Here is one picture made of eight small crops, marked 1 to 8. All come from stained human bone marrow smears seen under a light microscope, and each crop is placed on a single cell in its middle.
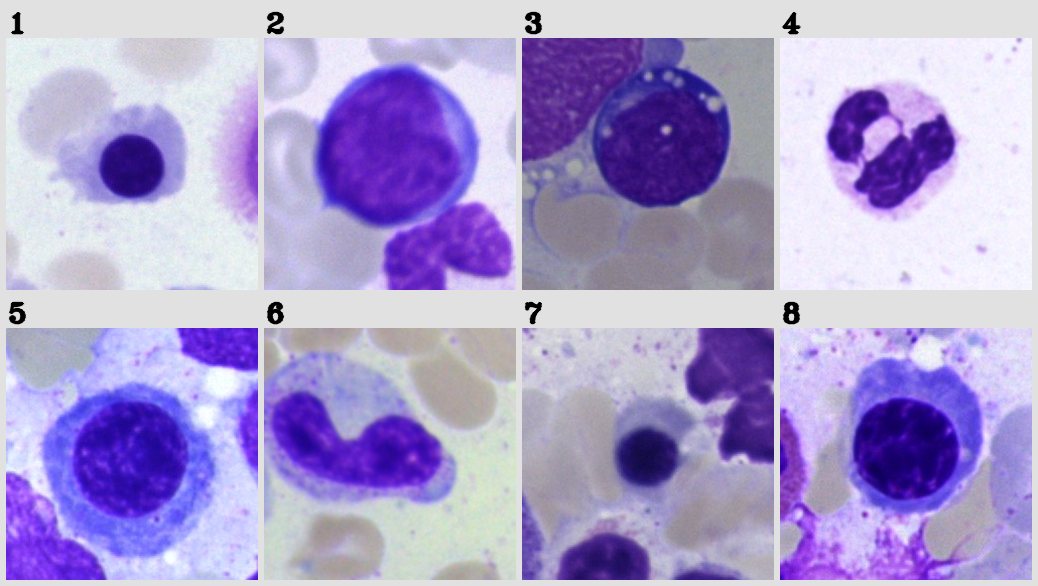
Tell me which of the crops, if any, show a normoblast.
1, 5, 7, 8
